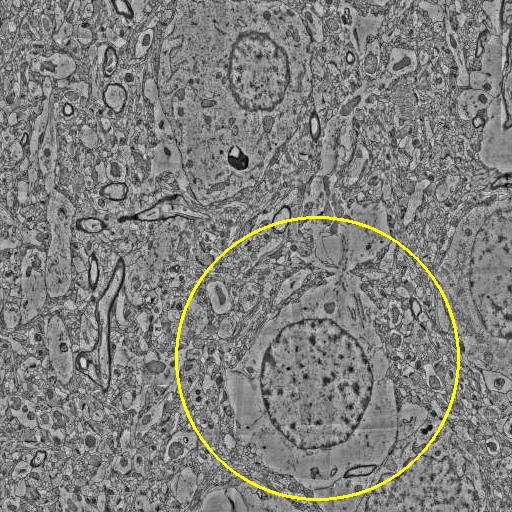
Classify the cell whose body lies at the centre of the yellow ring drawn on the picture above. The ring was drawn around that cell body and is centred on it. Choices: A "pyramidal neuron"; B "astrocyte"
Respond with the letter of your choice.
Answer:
B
